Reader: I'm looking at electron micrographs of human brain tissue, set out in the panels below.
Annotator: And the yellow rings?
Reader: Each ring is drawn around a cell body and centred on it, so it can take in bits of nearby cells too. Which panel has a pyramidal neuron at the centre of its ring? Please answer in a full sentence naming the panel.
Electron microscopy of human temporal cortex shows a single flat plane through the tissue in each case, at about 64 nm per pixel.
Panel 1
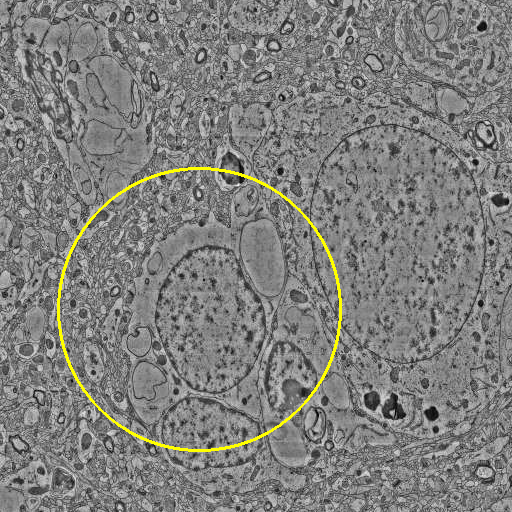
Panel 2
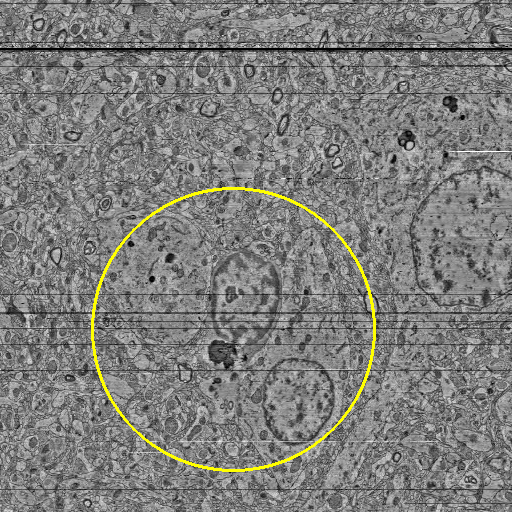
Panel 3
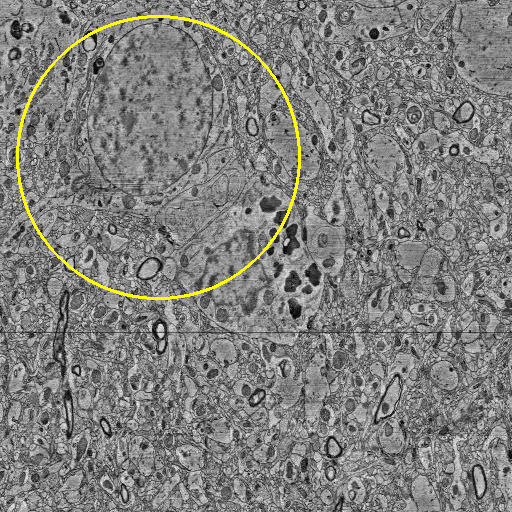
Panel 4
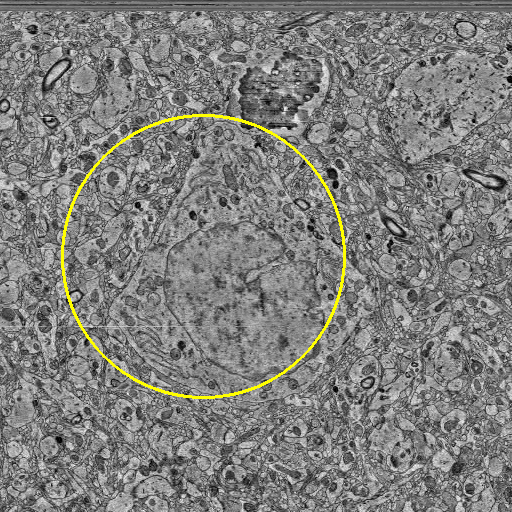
Panel 3 has it at the centre of its ring.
